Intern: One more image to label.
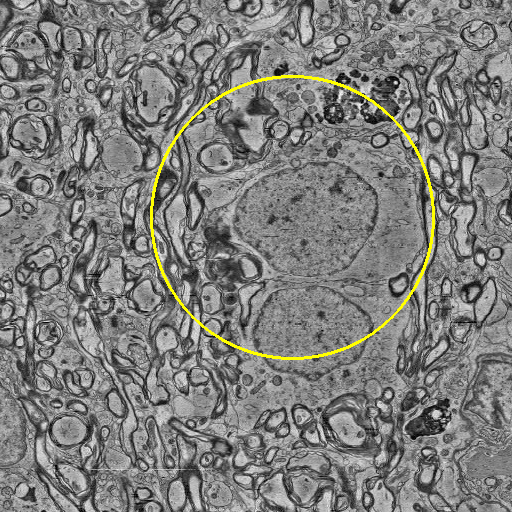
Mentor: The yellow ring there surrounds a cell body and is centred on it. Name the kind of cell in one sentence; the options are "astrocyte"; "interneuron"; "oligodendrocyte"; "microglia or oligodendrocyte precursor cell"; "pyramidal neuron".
The ring marks the cell body of an astrocyte.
